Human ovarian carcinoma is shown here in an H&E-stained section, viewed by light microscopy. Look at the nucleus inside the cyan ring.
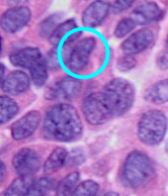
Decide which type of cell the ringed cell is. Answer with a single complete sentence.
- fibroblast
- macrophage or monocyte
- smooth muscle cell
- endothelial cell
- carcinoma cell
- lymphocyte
The expected answer is simply that the ringed cell is a carcinoma cell.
